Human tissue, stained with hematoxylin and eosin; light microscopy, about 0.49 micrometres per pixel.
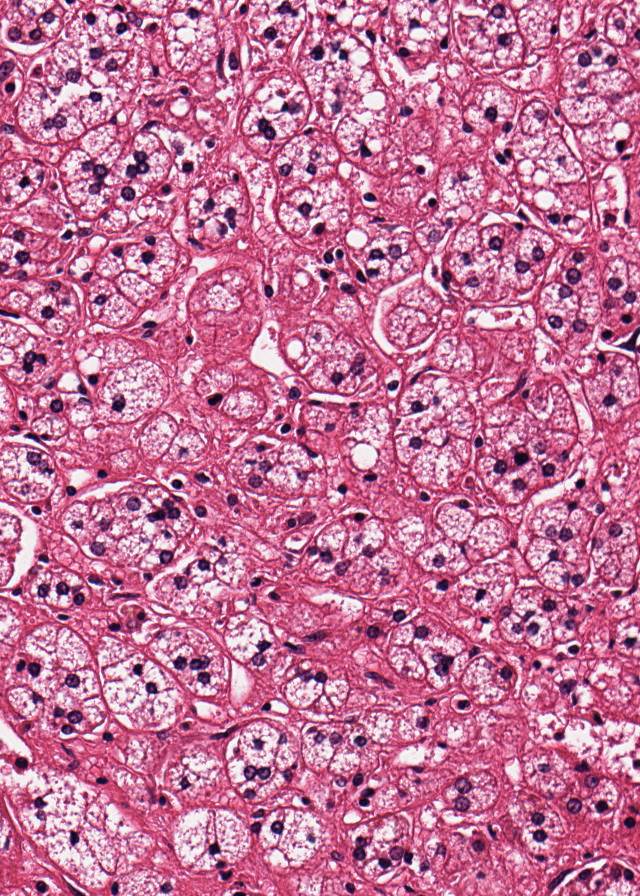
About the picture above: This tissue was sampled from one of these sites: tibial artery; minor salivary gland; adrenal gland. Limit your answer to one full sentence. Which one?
The tissue studied in this section came from the adrenal gland.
